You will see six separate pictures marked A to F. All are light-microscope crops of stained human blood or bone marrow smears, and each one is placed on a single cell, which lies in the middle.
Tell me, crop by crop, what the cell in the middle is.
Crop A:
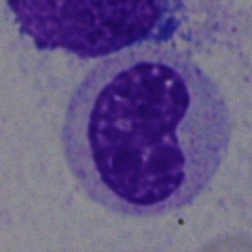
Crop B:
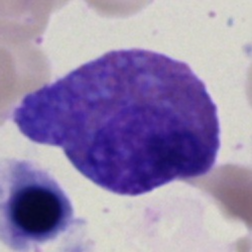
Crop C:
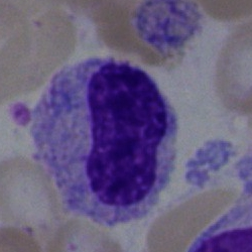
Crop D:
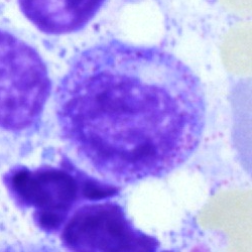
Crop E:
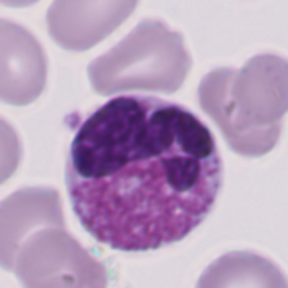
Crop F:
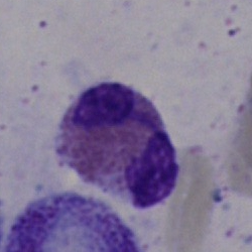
A: metamyelocyte
B: eosinophil
C: metamyelocyte
D: metamyelocyte
E: eosinophil
F: eosinophil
